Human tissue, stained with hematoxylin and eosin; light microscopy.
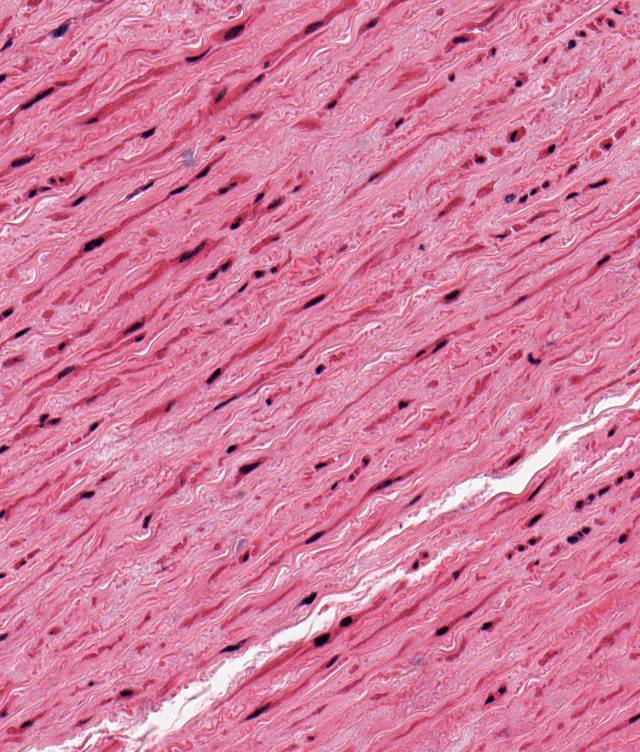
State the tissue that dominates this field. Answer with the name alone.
tunica media of an artery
